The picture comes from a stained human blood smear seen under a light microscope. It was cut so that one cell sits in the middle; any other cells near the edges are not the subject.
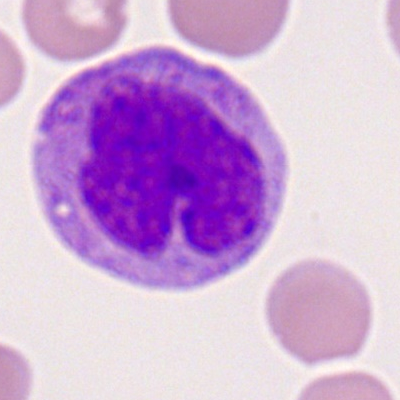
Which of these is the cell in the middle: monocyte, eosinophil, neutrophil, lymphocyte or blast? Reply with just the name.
monocyte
